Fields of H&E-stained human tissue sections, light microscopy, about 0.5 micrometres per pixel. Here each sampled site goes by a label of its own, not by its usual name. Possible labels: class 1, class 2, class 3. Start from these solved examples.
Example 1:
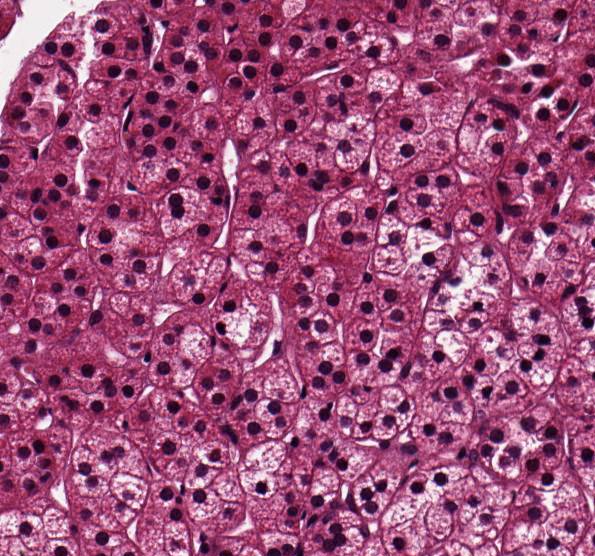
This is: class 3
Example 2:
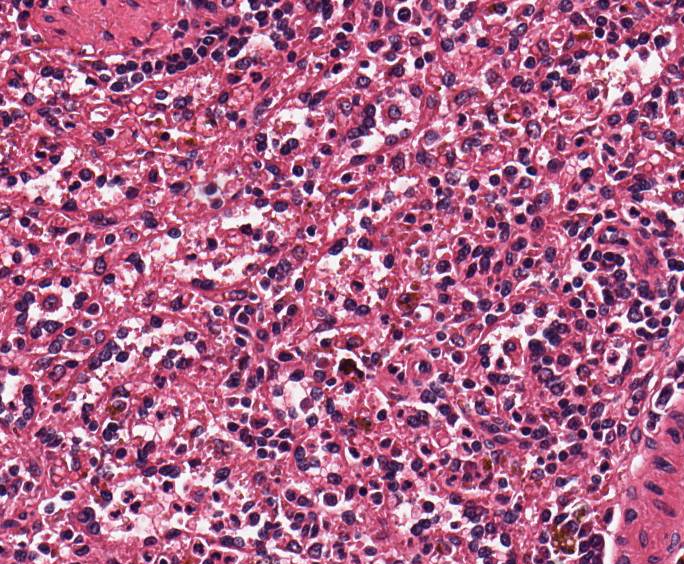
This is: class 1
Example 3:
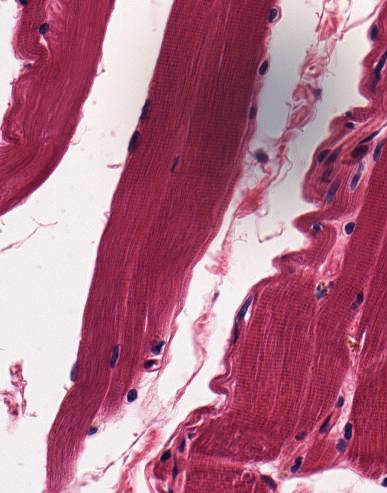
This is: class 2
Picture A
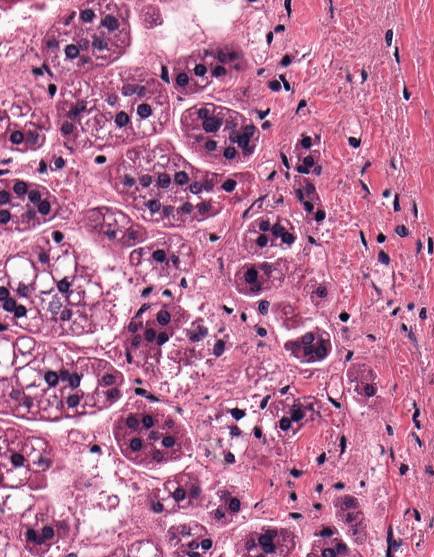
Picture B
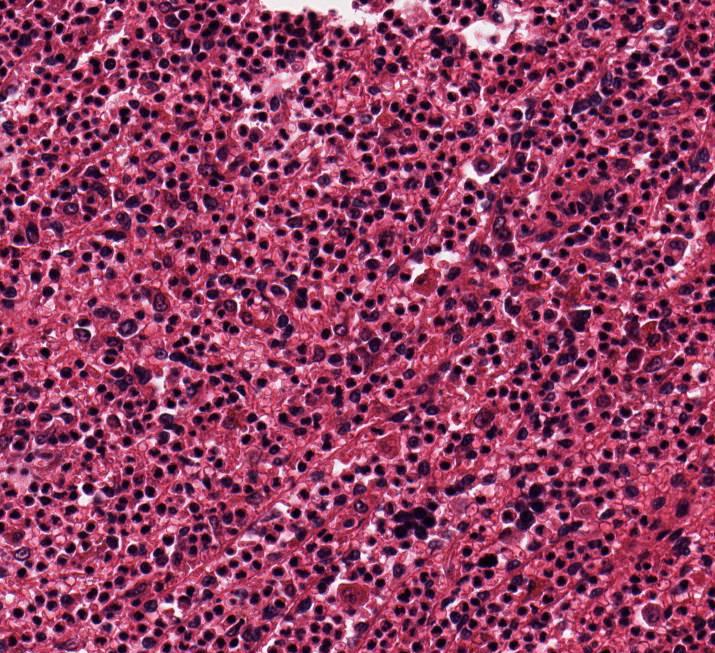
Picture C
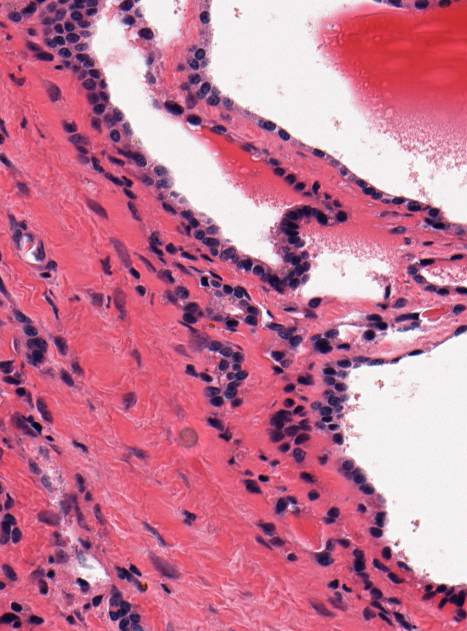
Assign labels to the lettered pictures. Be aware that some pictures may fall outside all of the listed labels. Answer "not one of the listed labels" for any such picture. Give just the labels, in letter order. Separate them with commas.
class 3, class 1, not one of the listed labels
